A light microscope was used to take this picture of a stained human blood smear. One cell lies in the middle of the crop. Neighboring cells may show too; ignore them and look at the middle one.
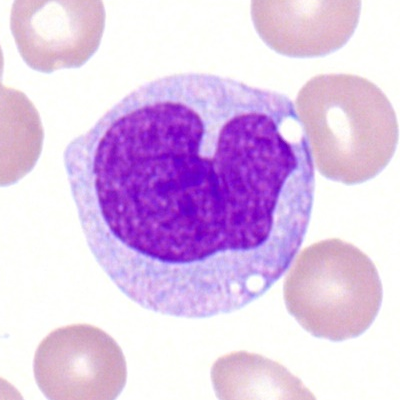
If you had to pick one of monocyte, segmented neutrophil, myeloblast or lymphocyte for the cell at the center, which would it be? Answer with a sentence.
The cell the crop is centered on is a monocyte.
